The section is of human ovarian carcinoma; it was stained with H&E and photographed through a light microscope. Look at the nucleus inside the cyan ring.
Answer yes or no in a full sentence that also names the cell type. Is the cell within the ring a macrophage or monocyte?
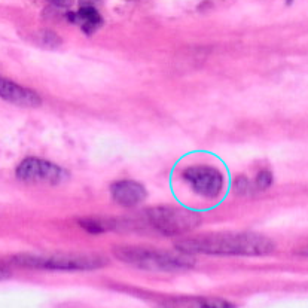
Yes, the cell within the ring is assigned the identity of a macrophage or monocyte.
